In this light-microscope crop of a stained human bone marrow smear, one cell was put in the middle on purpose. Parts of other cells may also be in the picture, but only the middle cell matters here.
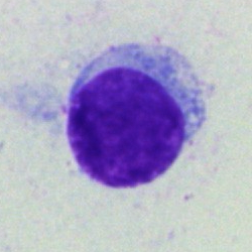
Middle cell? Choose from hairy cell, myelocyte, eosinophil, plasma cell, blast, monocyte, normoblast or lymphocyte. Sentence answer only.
The target cell in the middle of the crop is a hairy cell.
